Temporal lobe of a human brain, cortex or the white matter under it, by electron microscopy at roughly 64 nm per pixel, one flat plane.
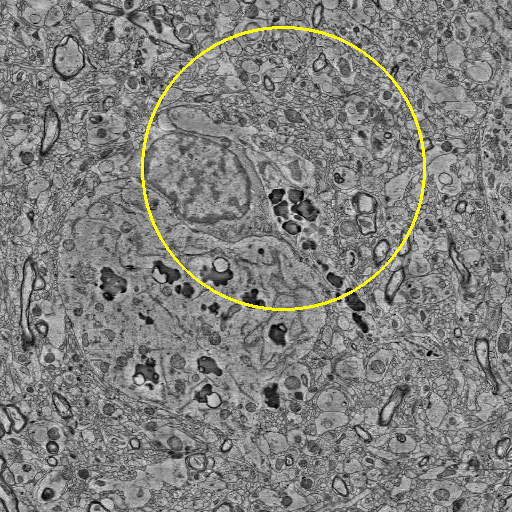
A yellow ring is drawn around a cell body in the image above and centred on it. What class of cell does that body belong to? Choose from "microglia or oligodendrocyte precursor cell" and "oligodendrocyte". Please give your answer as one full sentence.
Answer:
The yellow ring above is centred on the cell body of a microglial cell or oligodendrocyte precursor cell.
